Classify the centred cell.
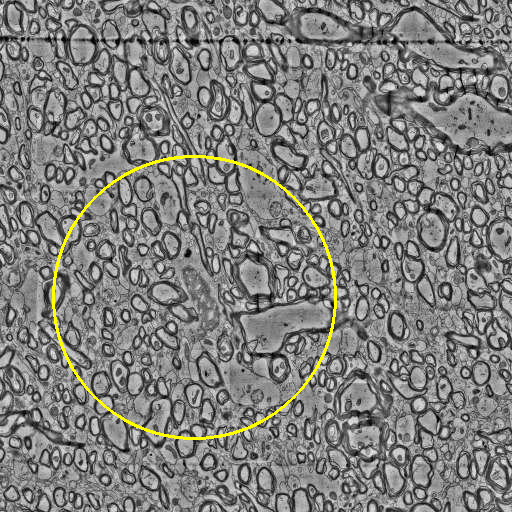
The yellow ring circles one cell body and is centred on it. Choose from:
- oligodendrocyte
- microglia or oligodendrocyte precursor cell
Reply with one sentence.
The ring is centred on an oligodendrocyte.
